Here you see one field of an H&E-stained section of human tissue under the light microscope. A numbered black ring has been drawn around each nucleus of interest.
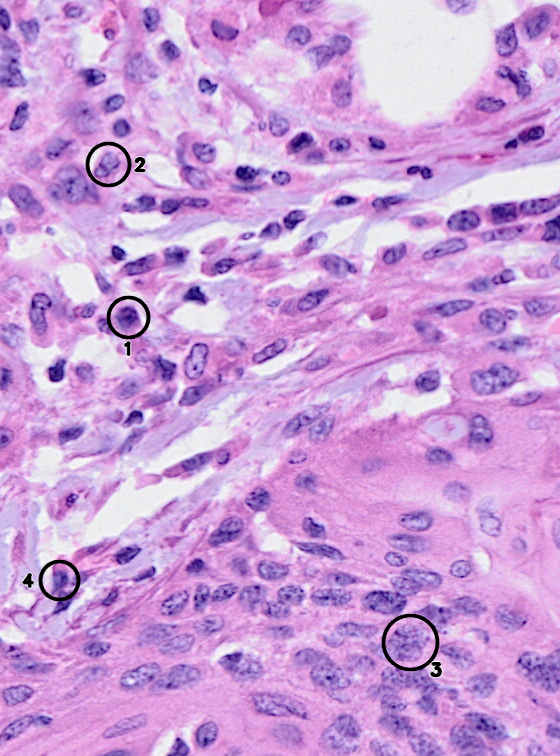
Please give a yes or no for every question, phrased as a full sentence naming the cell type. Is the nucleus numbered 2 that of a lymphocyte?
No, a lymphocyte is not what cell 2 is; it is an endothelial cell.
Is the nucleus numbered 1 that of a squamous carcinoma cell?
No, number 1 does not mark a squamous carcinoma cell; it marks a lymphocyte.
